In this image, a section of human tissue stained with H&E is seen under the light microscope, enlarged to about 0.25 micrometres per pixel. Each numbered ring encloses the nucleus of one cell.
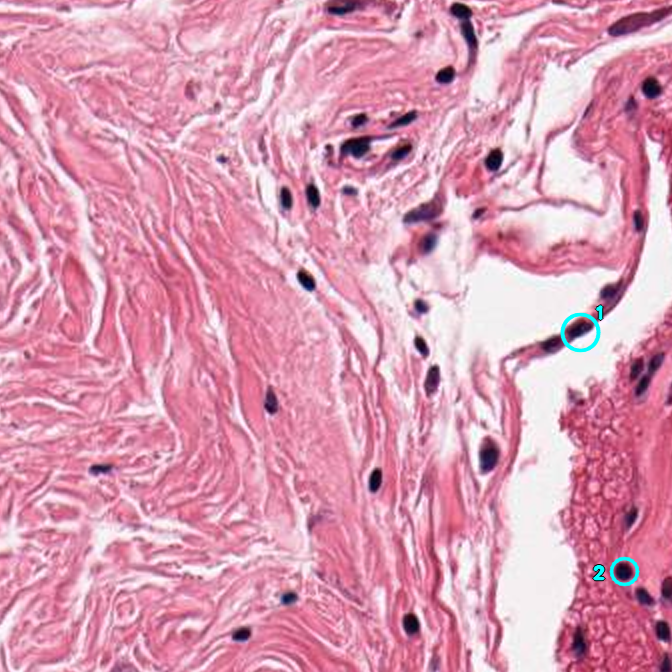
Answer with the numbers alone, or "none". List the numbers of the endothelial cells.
1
